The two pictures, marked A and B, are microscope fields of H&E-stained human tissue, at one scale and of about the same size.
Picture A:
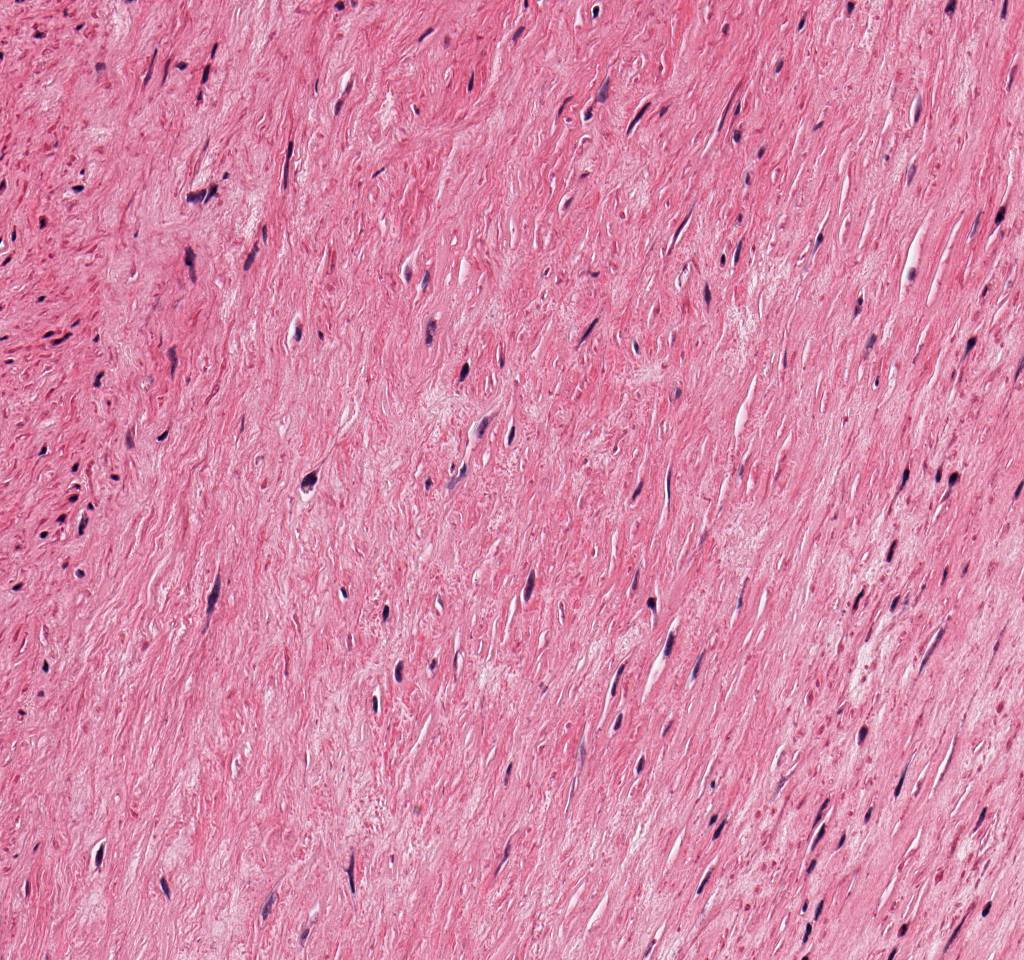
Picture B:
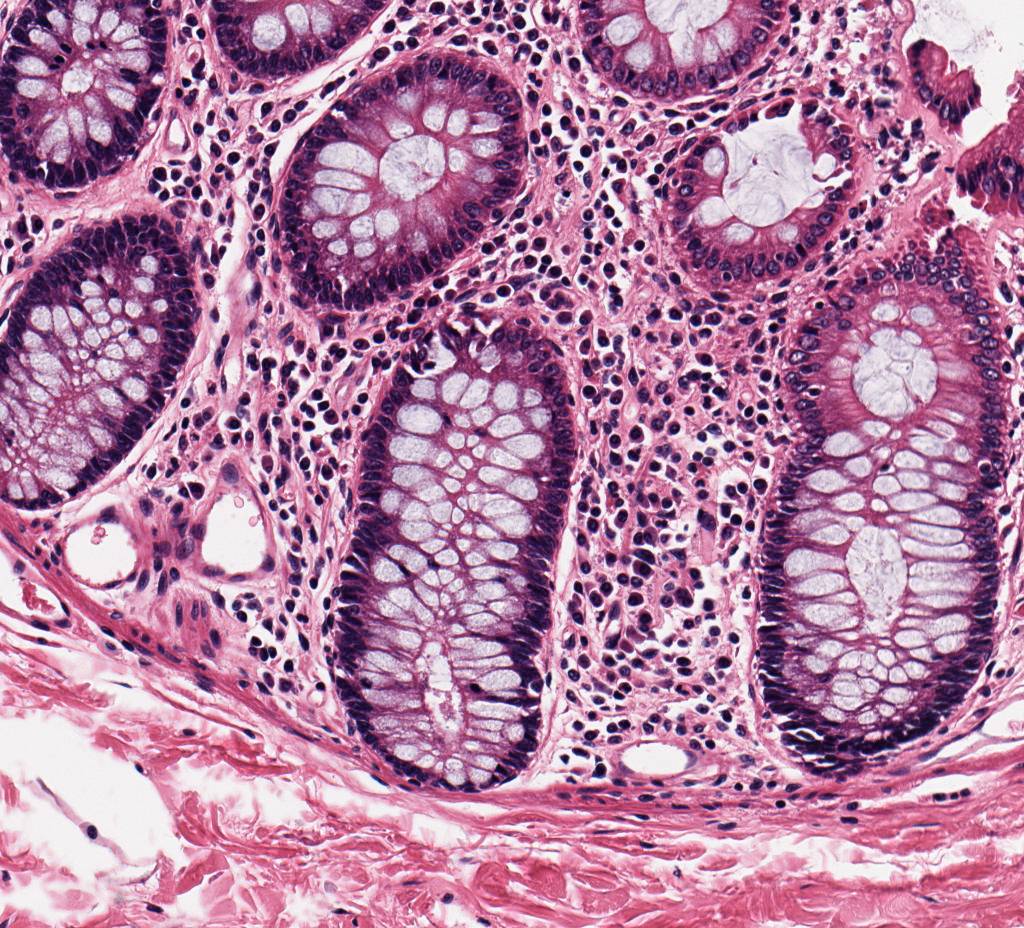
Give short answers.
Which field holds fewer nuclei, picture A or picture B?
A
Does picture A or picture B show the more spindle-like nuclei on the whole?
A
